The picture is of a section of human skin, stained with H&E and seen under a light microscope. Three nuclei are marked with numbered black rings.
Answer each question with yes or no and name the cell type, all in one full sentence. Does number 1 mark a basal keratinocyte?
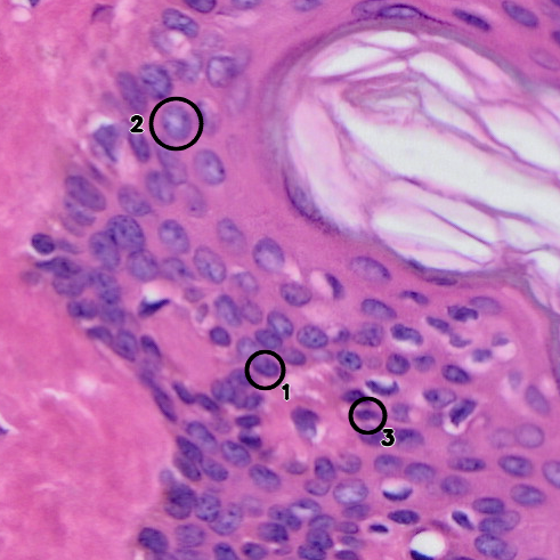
Yes, with respect to number 1, the cell is a basal keratinocyte.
